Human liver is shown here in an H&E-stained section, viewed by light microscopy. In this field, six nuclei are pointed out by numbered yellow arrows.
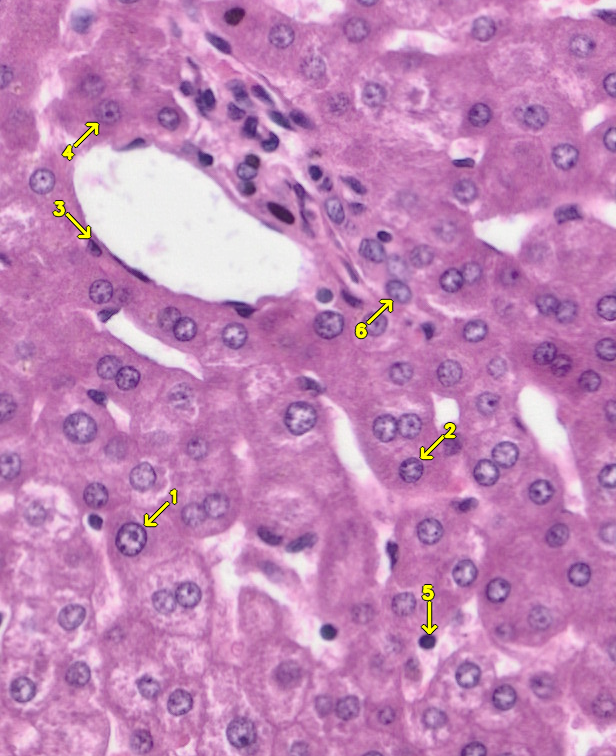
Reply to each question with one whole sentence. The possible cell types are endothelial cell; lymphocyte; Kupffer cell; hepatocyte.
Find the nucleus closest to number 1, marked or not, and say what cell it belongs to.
Number 1 lies closest to the nucleus of a lymphocyte.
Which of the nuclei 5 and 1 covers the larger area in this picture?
Number 1 is larger; its area is about 3 times that of number 5.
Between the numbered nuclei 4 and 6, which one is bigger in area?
It is nucleus 4, which covers about 1.5 times the area of nucleus 6.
